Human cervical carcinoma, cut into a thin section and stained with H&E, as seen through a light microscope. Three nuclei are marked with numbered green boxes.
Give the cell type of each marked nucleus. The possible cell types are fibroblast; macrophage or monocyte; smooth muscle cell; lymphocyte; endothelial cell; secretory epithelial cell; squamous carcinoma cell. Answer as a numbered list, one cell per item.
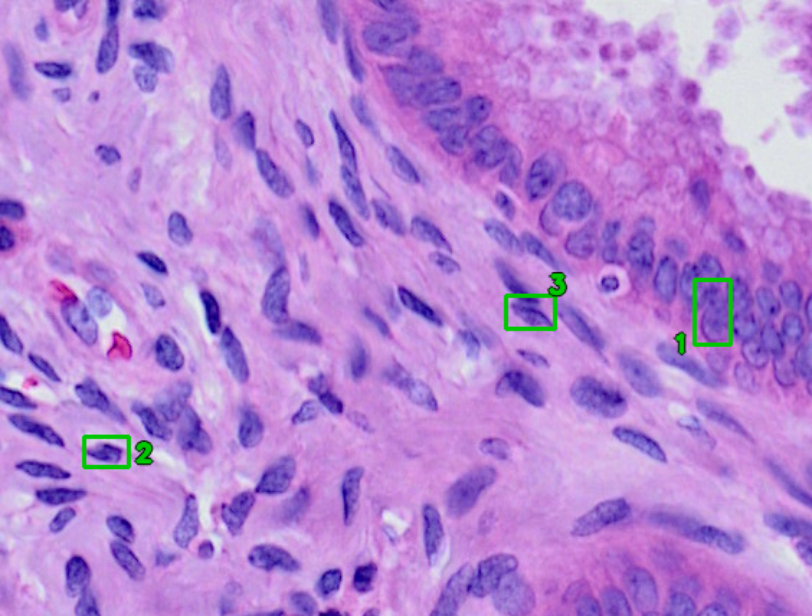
1. secretory epithelial cell
2. fibroblast
3. fibroblast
